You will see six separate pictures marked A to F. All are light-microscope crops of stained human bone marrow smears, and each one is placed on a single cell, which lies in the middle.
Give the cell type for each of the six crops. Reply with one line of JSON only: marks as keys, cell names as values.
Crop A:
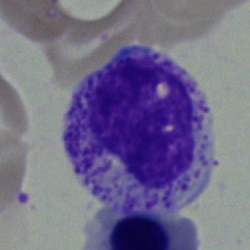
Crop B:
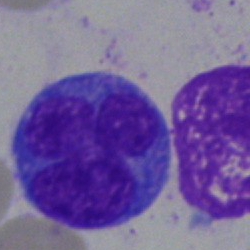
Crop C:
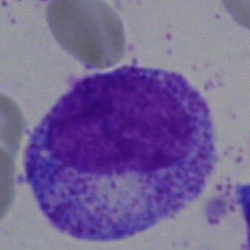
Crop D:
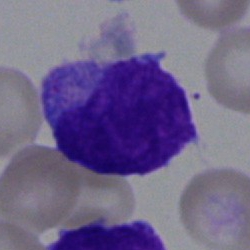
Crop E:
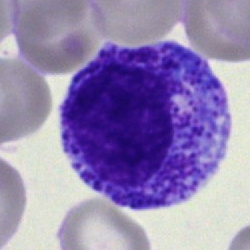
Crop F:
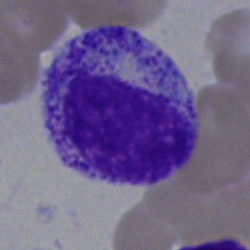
{"A": "myelocyte", "B": "blast", "C": "myelocyte", "D": "blast", "E": "myelocyte", "F": "myelocyte"}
